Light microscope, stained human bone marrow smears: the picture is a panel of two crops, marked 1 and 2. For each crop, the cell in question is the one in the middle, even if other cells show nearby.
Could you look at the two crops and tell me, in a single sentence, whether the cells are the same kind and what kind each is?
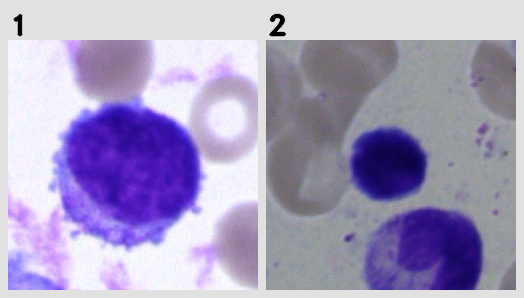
No, the cell centred in crop 2 is a lymphocyte; crop 1 centres on a blast.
